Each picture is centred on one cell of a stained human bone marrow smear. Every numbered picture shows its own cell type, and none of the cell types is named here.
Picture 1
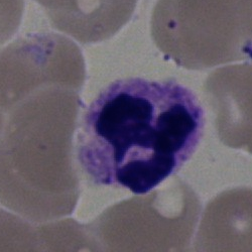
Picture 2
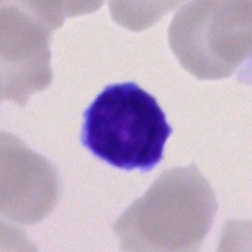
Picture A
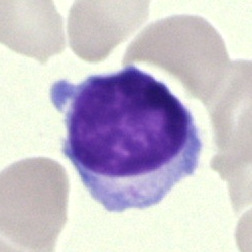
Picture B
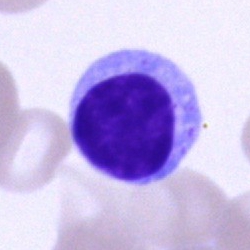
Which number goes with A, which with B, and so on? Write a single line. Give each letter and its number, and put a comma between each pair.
A 2, B 2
